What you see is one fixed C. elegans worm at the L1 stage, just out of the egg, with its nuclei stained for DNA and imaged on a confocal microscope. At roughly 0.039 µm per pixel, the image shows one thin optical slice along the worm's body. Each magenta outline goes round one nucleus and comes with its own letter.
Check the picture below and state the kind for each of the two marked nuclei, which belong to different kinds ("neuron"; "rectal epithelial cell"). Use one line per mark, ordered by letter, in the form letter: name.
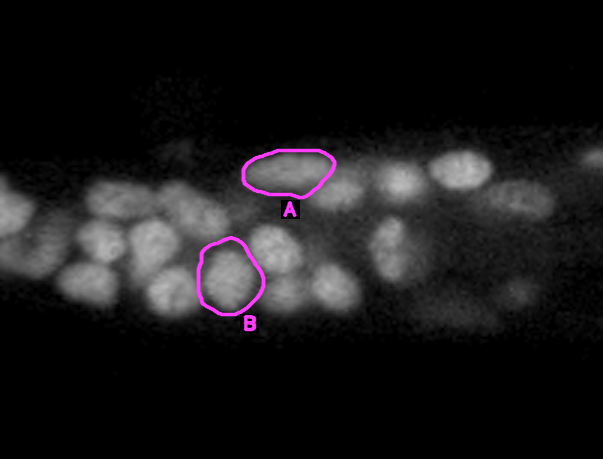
A: rectal epithelial cell
B: neuron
